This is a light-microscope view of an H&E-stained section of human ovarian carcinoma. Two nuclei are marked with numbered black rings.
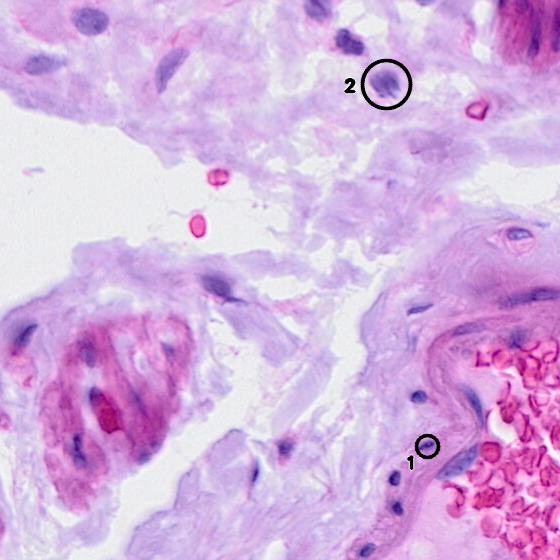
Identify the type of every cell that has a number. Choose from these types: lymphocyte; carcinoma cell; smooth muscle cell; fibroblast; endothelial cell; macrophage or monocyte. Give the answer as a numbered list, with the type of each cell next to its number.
1. smooth muscle cell
2. fibroblast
